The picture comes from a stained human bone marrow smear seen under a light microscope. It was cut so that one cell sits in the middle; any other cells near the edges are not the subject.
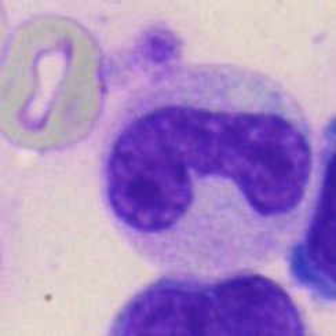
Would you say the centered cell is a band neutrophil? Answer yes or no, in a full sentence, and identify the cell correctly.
Yes, shown in the middle of the crop is a band neutrophil.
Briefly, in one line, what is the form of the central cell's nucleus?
One compact mass makes up the whole nucleus, round, oval or kidney-shaped.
